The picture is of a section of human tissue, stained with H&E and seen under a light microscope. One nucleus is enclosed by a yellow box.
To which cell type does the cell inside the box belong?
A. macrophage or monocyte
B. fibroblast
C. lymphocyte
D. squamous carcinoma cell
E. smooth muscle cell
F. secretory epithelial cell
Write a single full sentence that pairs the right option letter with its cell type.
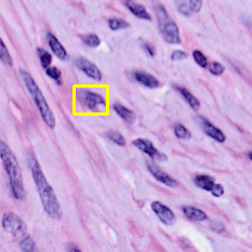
The item is answered by option E: the cell inside the box is a smooth muscle cell.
